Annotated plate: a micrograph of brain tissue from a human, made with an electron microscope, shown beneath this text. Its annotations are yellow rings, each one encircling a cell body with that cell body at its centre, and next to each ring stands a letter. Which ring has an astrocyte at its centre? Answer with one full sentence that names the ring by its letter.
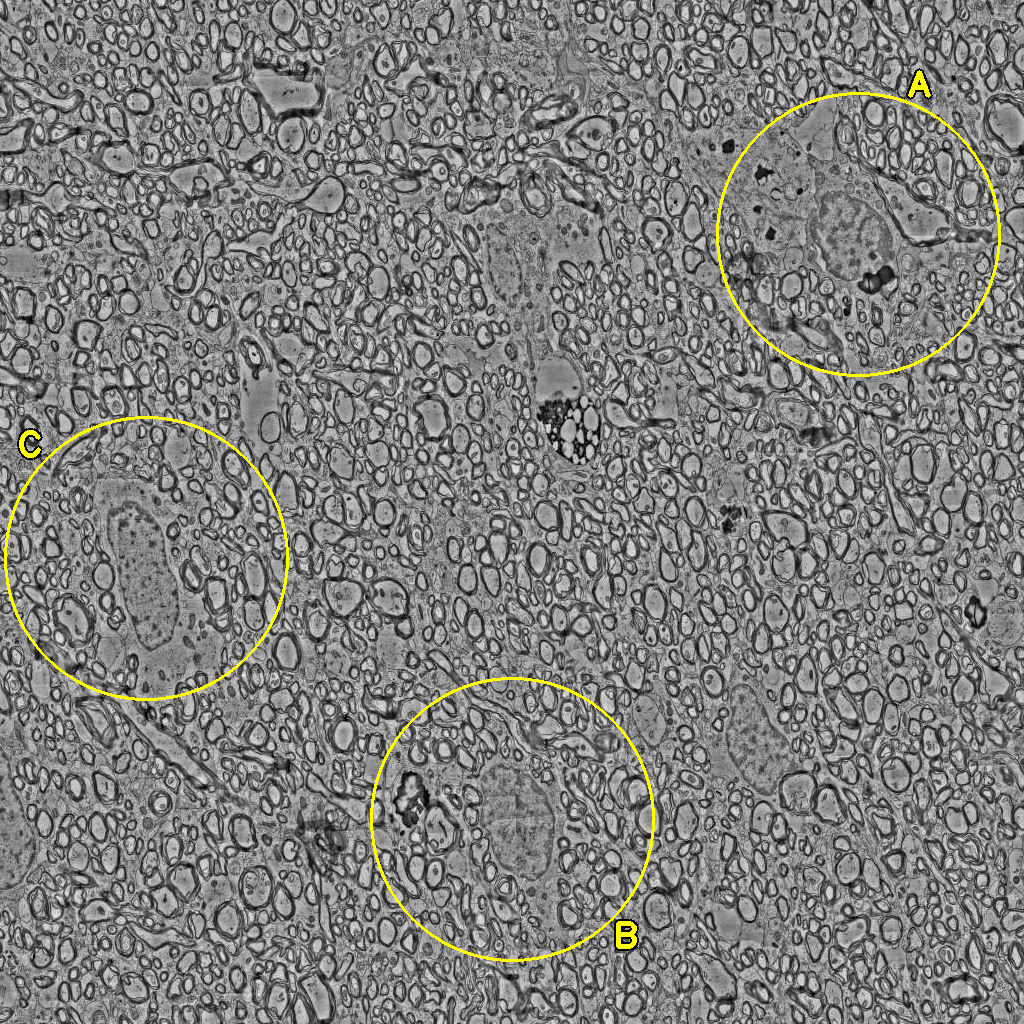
In the plate, ring C is the one centred on a cell of that kind.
